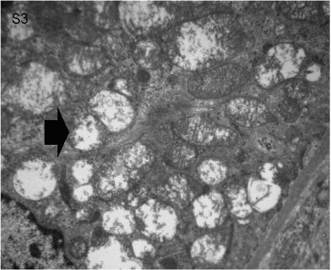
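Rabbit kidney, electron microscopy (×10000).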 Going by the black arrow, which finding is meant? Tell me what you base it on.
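Swollen and vacuolar mitochondria. Round, enlarged membrane-bound organelles with pale, cleared matrix. Remnants of cristae are visible at the edges of the pale areas.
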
